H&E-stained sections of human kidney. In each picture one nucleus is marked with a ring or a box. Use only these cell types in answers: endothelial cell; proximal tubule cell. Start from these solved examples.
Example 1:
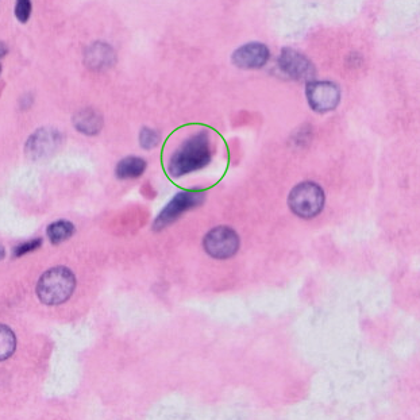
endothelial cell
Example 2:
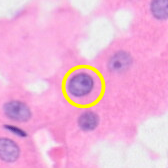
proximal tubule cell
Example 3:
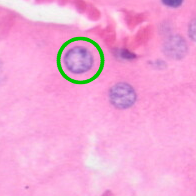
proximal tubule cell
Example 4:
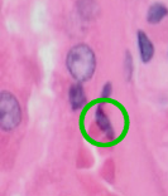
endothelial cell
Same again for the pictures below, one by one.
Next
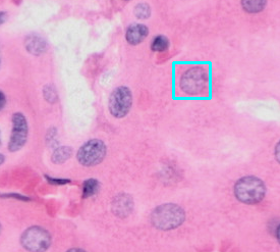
proximal tubule cell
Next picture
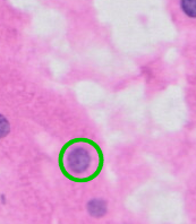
proximal tubule cell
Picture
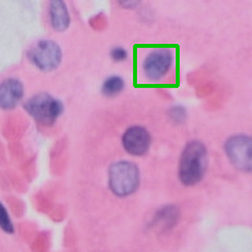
endothelial cell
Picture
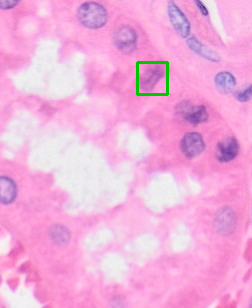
proximal tubule cell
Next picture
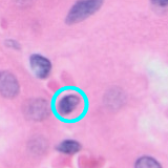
endothelial cell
